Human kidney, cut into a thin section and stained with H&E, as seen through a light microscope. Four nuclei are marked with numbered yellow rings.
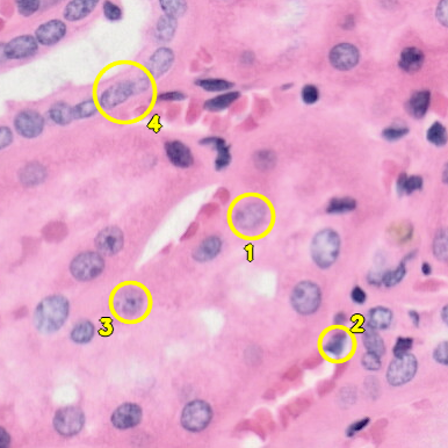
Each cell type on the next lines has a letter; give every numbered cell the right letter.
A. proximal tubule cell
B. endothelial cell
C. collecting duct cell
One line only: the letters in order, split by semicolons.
A; B; A; C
